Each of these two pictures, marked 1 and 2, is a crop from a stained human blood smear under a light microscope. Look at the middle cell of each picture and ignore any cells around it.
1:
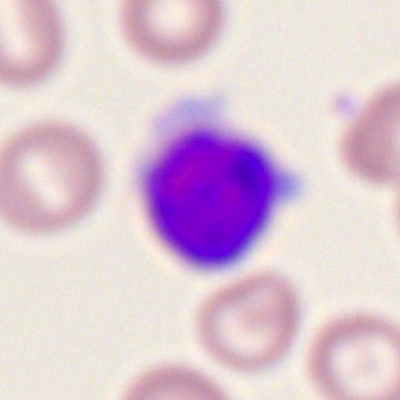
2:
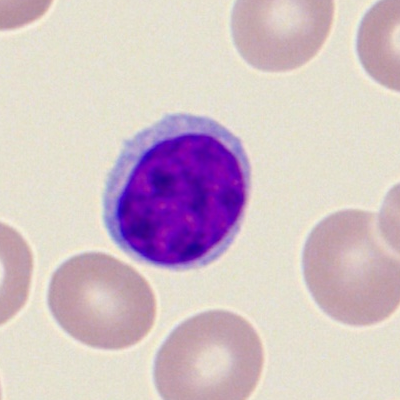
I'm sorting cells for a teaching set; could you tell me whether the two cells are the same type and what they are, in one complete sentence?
Yes, it is lymphocytes that occupy the middle of both crops.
